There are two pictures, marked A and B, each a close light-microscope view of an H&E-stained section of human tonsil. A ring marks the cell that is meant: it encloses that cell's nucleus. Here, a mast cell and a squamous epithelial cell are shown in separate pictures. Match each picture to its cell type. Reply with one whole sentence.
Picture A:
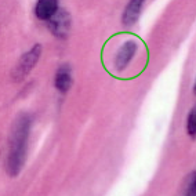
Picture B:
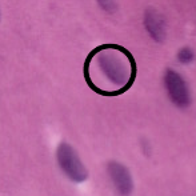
In picture A the cell is a mast cell; in picture B, a squamous epithelial cell.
